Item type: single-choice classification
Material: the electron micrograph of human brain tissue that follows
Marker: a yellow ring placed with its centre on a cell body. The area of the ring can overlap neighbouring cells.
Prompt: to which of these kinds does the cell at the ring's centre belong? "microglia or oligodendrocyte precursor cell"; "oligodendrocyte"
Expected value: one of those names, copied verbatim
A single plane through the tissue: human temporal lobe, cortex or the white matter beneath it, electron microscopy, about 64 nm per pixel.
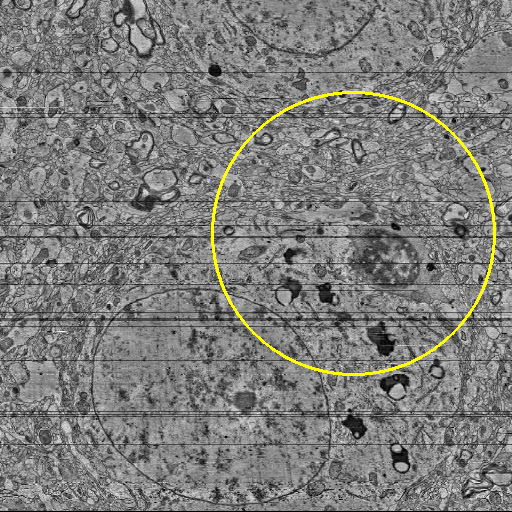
oligodendrocyte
